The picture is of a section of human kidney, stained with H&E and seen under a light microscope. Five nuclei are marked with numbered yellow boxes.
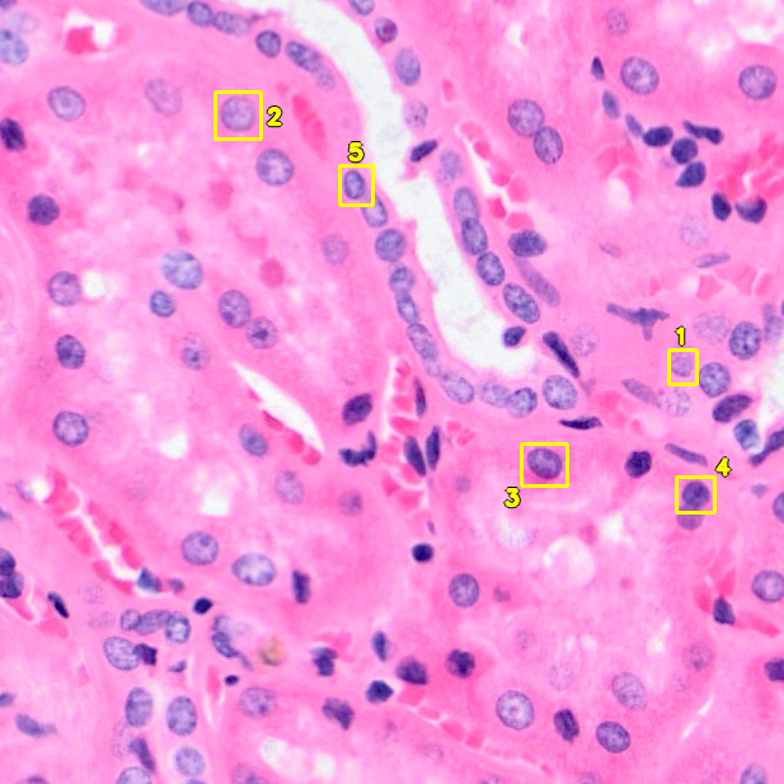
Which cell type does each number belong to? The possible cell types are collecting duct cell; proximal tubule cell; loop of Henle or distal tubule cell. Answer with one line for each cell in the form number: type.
1: collecting duct cell
2: proximal tubule cell
3: proximal tubule cell
4: proximal tubule cell
5: collecting duct cell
